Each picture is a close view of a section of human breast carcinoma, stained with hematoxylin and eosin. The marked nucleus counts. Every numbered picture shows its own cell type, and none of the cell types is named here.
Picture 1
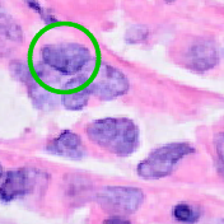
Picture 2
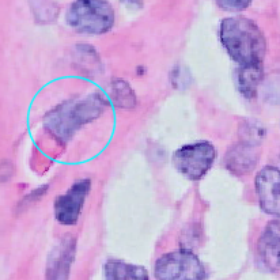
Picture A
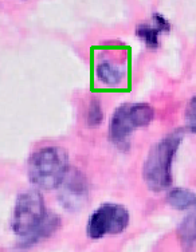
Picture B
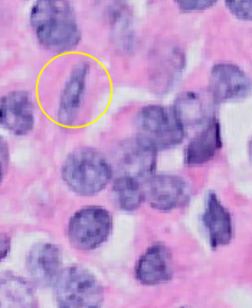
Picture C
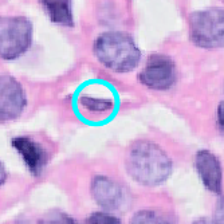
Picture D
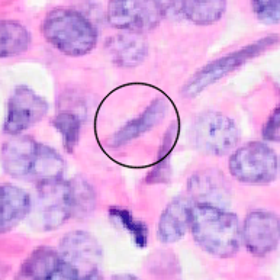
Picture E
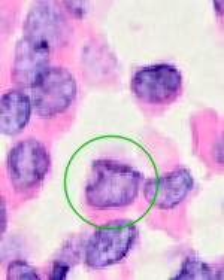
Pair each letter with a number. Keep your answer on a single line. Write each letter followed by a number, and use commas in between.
A 2, B 2, C 2, D 2, E 1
